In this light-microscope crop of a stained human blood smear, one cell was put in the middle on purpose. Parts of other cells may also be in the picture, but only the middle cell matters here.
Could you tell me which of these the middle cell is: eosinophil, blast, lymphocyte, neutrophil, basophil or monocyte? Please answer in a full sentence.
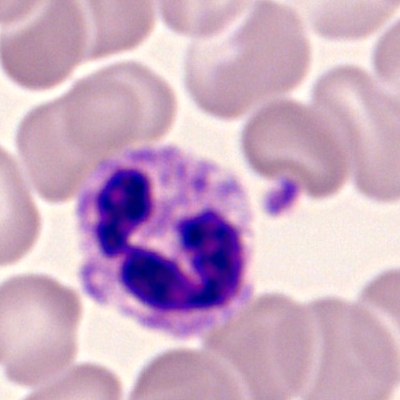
Where the crop is centred, there is a neutrophil.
